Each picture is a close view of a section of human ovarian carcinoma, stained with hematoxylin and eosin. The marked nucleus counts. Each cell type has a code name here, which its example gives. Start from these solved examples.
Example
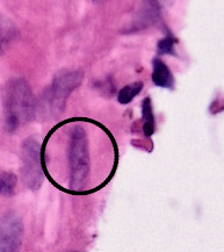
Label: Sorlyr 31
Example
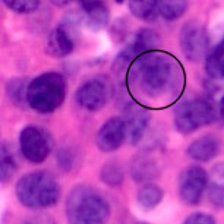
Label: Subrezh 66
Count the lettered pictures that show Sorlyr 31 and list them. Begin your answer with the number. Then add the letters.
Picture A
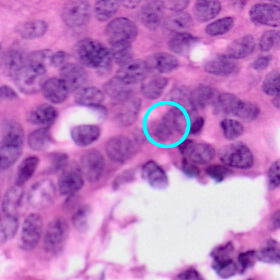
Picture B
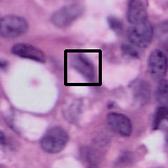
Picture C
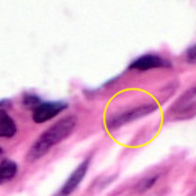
1, namely C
